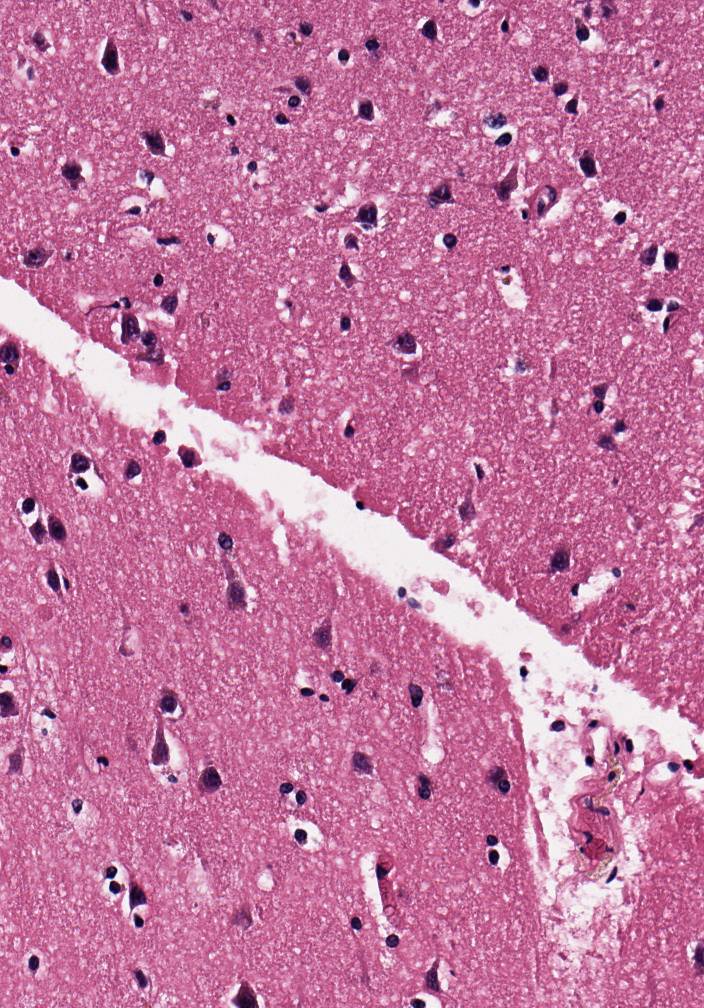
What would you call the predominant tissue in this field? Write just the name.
cerebral cortex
